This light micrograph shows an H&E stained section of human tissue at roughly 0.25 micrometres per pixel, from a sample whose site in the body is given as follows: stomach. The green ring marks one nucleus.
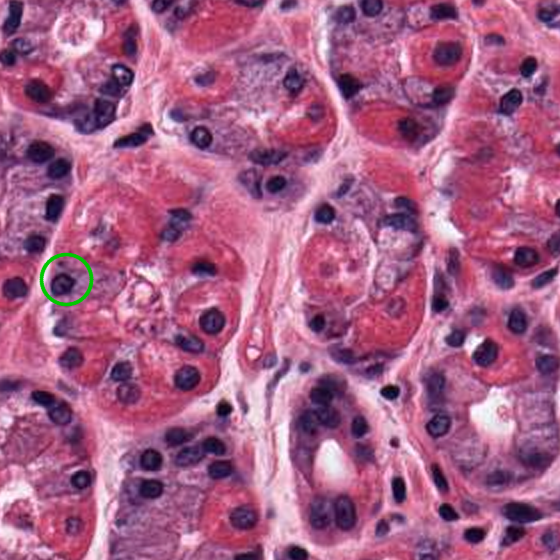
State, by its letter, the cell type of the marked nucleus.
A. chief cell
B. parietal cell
A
